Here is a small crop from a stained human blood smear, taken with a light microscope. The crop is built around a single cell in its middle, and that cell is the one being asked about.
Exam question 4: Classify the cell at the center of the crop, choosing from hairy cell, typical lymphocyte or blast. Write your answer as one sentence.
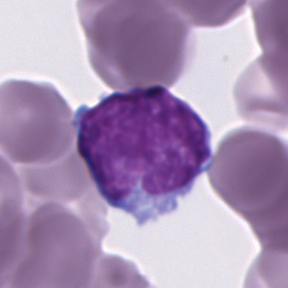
The cell positioned in the middle of the field is a typical lymphocyte.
